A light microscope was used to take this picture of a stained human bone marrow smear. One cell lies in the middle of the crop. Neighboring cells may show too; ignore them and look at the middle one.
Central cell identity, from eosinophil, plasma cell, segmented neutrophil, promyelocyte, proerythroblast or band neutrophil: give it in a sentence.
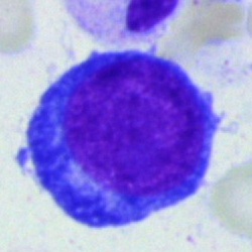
Present in the middle of the crop is a proerythroblast.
